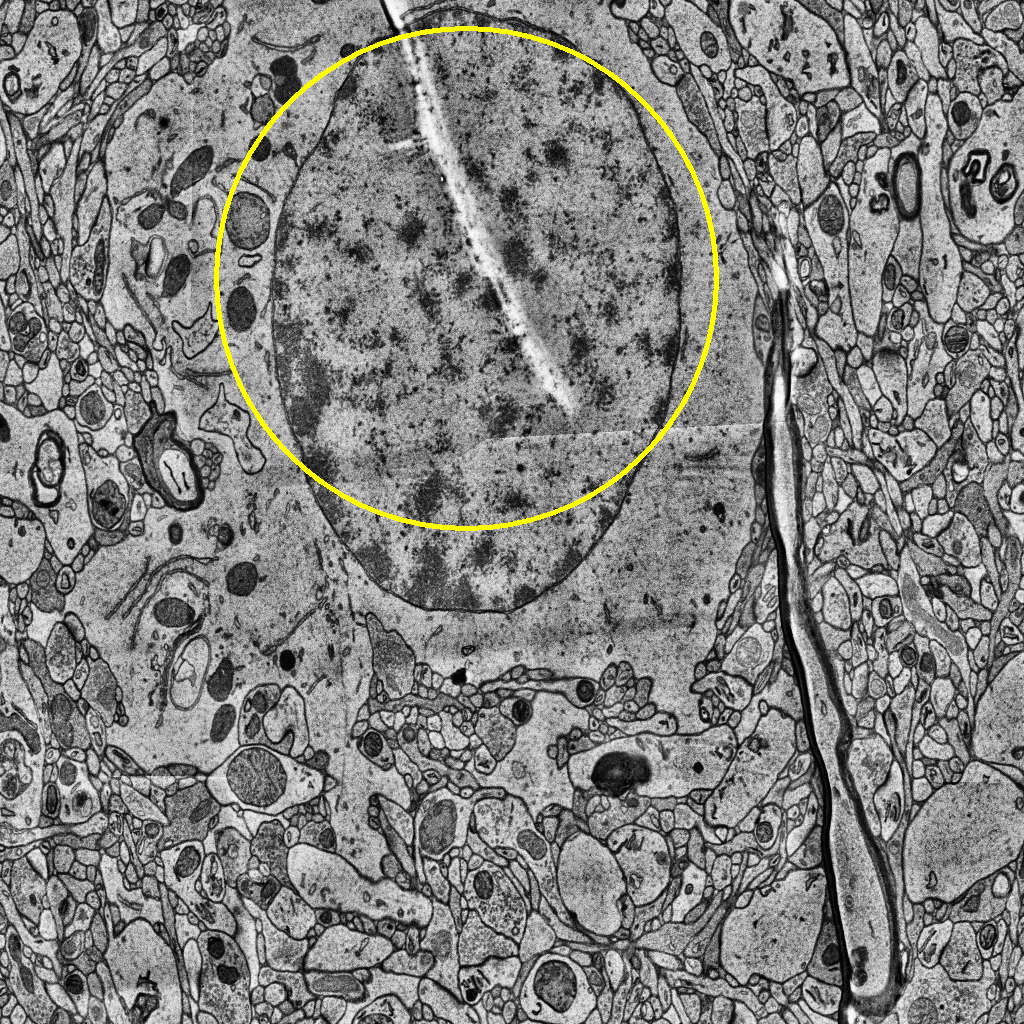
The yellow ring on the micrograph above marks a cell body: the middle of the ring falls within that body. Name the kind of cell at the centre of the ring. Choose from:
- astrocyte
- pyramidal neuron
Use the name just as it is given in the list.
astrocyte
